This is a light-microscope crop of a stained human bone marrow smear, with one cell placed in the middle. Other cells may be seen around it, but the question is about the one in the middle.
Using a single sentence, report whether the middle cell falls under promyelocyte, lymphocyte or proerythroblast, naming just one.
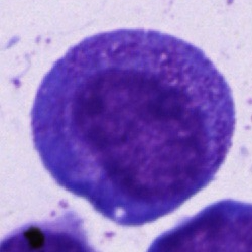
Within this crop, a promyelocyte occupies the central position.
